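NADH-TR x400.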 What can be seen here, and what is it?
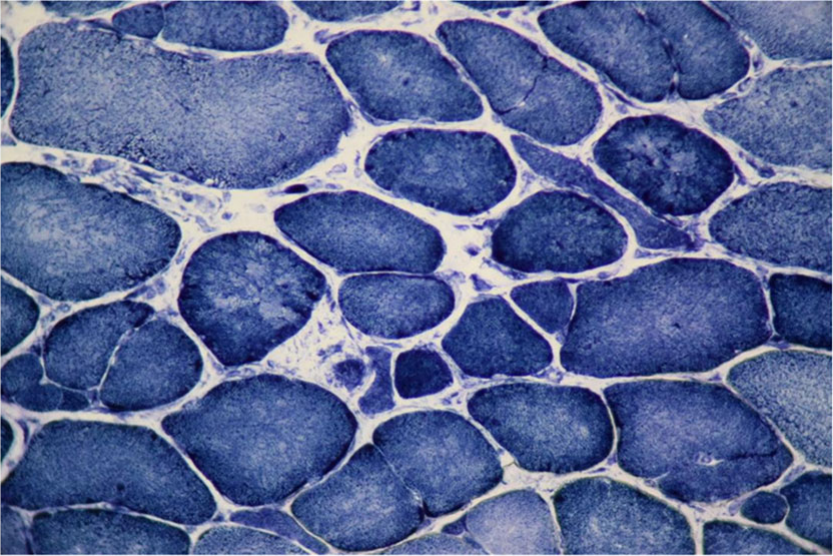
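This is skeletal muscle cut across and stained so that the fibers appear in shades of blue. The fibers are of unequal size and are separated by pale, widened spaces with scattered cells. Inside the fibers the fine blue granular pattern is uneven: some fibers are dark throughout, others lighter, and many show paler, washed-out zones toward their centers where the staining thins out. These pale central areas contrast with the darker rim of the same fiber, giving a blotchy rather than evenly speckled appearance.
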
